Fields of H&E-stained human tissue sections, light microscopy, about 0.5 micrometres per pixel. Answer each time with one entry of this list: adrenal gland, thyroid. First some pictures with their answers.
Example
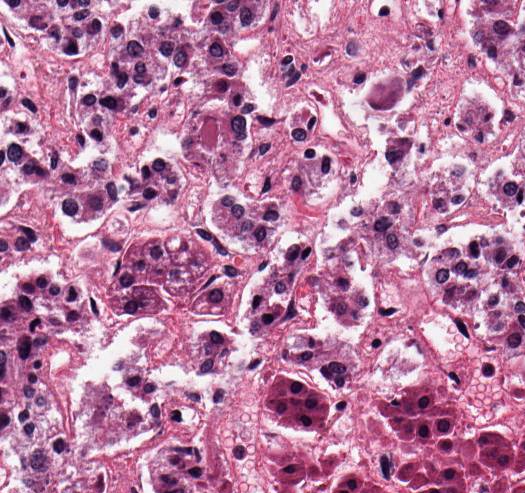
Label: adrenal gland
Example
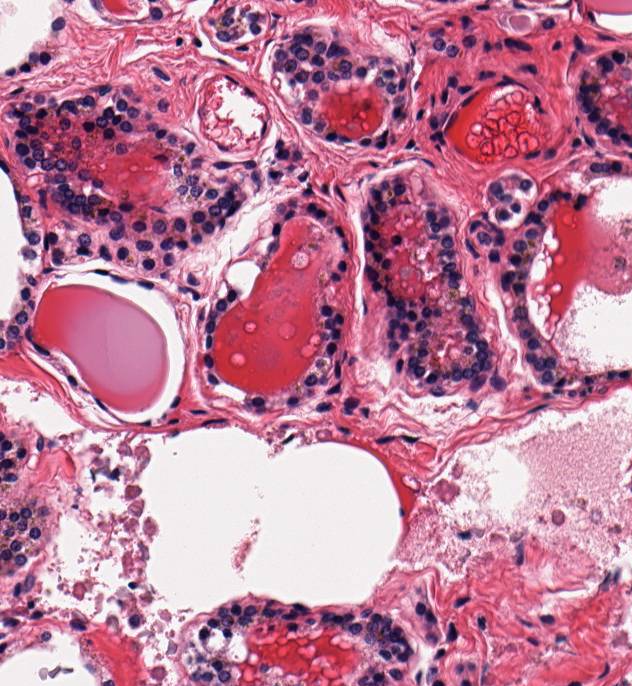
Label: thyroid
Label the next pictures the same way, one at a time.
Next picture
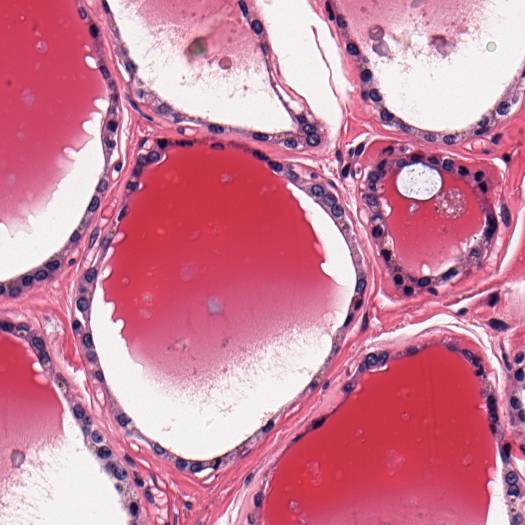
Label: thyroid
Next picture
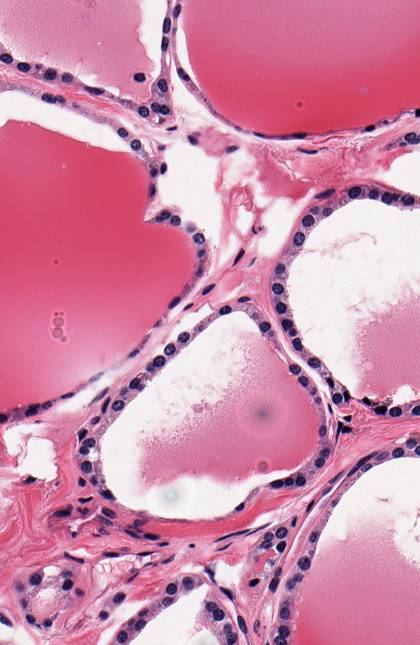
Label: thyroid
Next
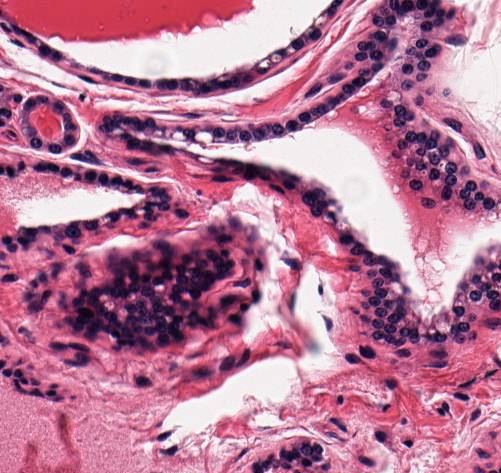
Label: thyroid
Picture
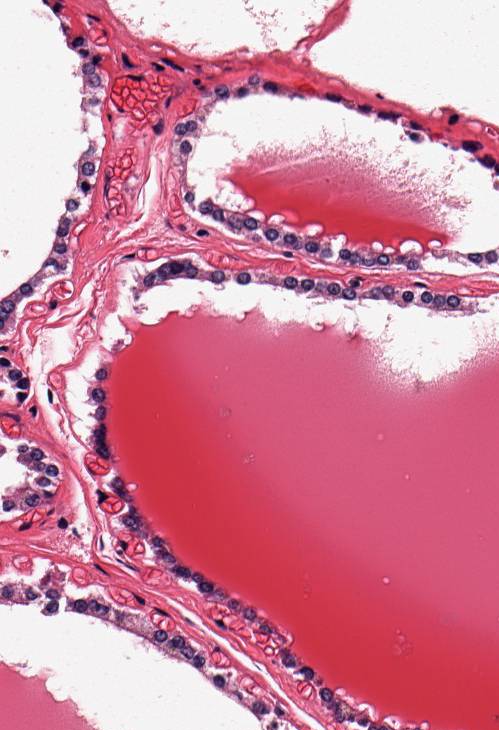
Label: thyroid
